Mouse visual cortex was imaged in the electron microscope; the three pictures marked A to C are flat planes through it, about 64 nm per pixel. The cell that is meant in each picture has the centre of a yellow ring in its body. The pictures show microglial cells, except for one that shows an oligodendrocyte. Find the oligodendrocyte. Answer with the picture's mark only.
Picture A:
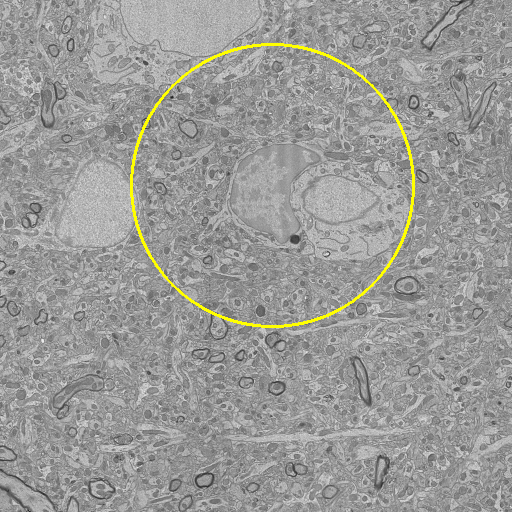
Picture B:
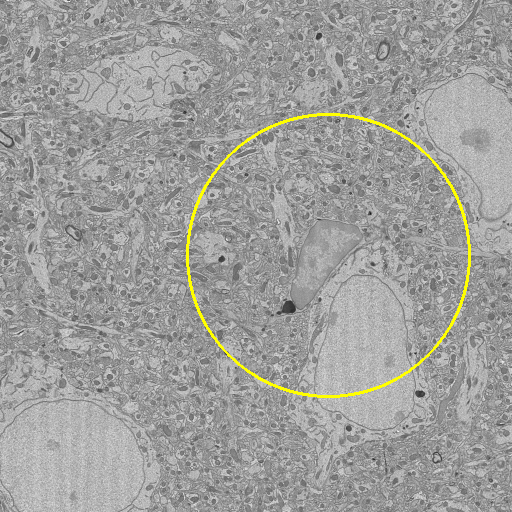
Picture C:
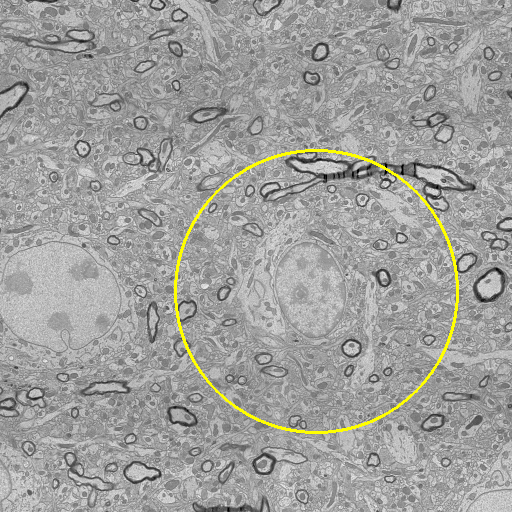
C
